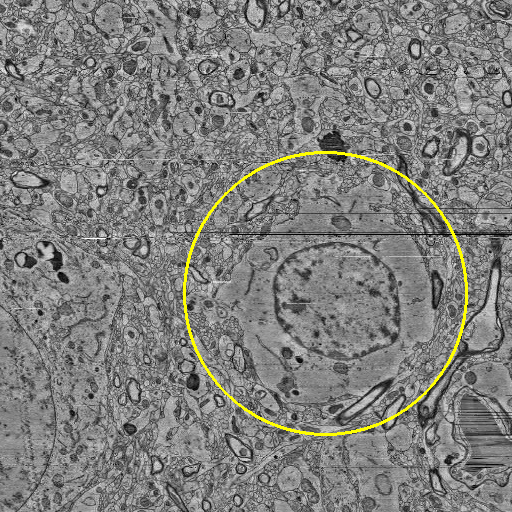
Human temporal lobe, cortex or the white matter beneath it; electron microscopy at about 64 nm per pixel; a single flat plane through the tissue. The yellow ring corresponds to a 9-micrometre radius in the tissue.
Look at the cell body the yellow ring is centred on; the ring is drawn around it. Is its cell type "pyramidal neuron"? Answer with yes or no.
No, its cell type is another.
